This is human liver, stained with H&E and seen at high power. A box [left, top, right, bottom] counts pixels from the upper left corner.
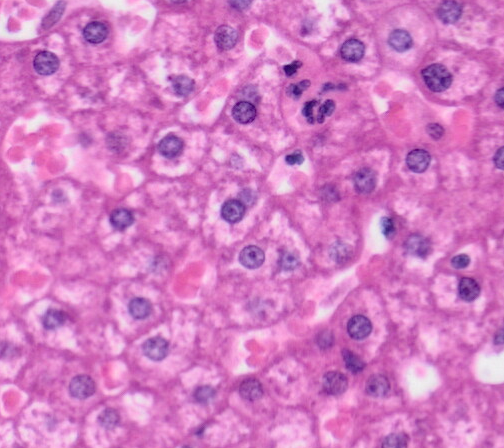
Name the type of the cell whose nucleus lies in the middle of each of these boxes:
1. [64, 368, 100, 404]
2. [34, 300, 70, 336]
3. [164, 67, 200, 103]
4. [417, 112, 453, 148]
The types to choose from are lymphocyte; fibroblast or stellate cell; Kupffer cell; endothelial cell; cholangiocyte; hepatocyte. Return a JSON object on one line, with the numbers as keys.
{"1": "hepatocyte", "2": "hepatocyte", "3": "hepatocyte", "4": "Kupffer cell"}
